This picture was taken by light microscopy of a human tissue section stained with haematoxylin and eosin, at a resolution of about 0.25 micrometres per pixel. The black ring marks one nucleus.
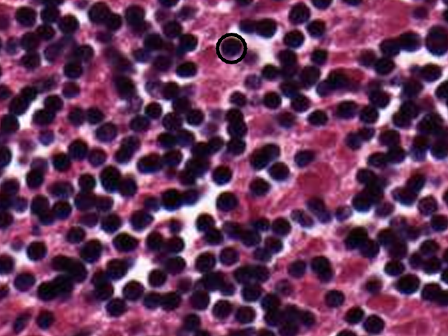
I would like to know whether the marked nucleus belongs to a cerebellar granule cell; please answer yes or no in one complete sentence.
Yes, to a cerebellar granule cell belongs the marked nucleus.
